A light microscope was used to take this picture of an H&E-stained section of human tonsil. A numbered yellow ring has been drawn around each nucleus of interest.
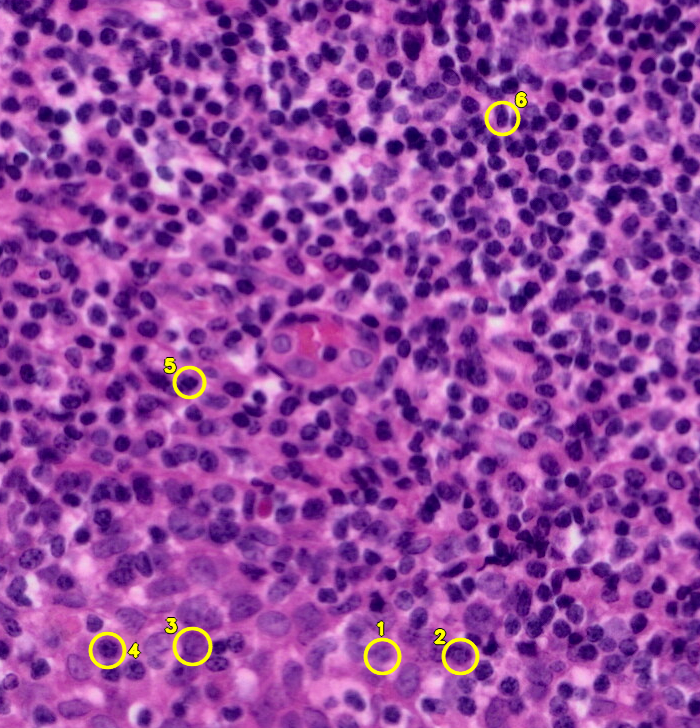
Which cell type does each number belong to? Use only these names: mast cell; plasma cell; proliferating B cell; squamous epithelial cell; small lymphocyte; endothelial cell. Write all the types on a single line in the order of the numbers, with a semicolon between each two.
squamous epithelial cell; plasma cell; squamous epithelial cell; plasma cell; plasma cell; small lymphocyte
